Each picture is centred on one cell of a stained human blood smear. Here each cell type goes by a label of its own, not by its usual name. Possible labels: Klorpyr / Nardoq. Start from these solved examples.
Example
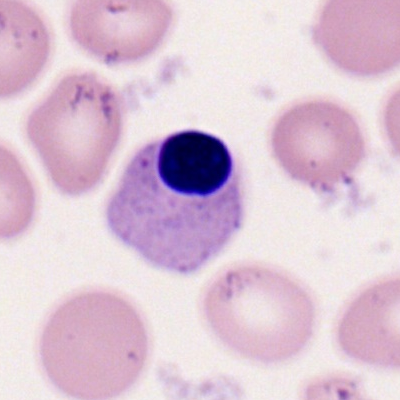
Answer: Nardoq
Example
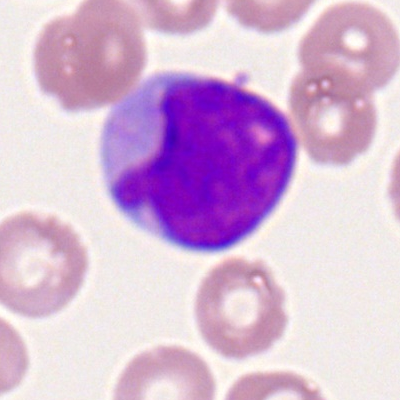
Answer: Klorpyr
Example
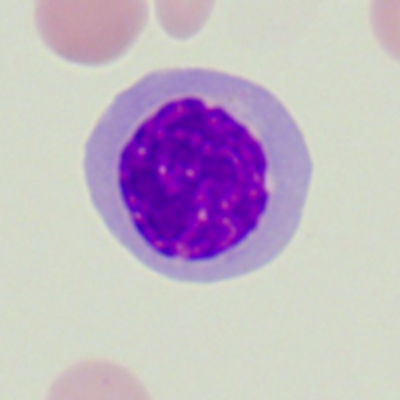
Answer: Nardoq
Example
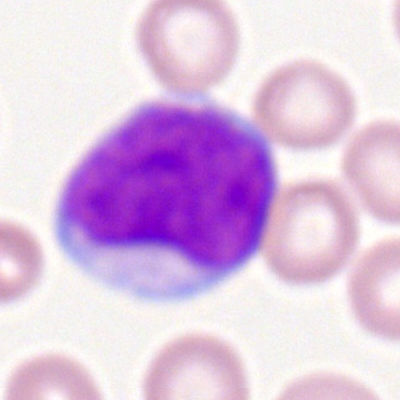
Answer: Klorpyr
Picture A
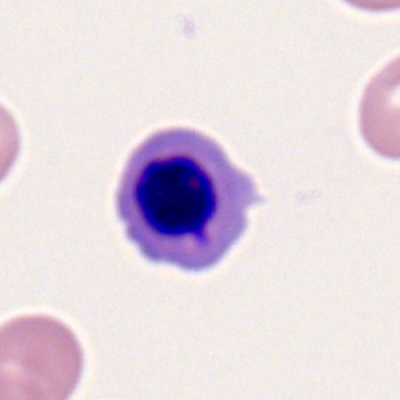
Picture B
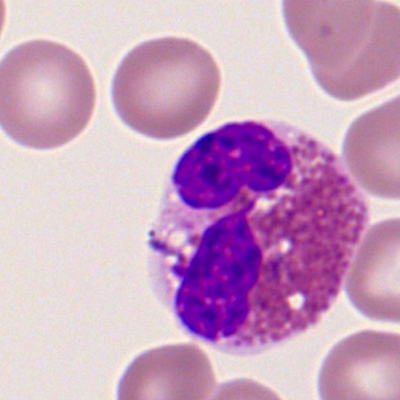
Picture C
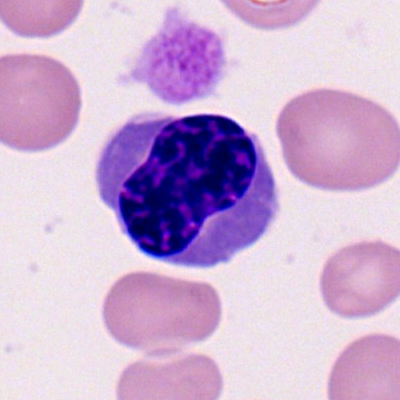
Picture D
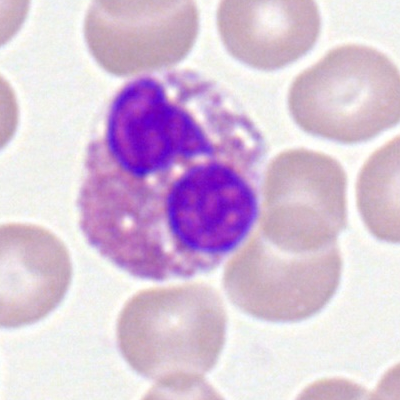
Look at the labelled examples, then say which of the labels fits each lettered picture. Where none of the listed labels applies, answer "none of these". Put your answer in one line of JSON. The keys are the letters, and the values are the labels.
{"A": "Nardoq", "B": "none of these", "C": "Nardoq", "D": "none of these"}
